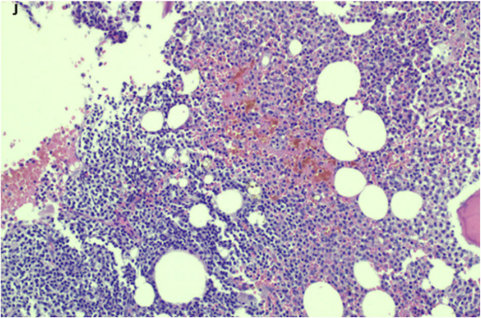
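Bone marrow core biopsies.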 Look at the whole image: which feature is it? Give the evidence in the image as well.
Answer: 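A dense cluster of small, round, dark-staining nuclei occupies the lower left of the marrow. It stands apart from the mixed marrow cells and fat spaces beside it. The answer: lymphoid aggregates.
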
